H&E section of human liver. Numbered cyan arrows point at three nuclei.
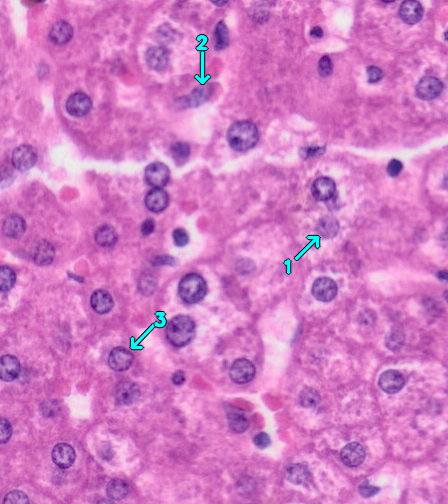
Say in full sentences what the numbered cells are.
Cell 1 is a hepatocyte, cell 2 is a Kupffer cell and cell 3 is a hepatocyte.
